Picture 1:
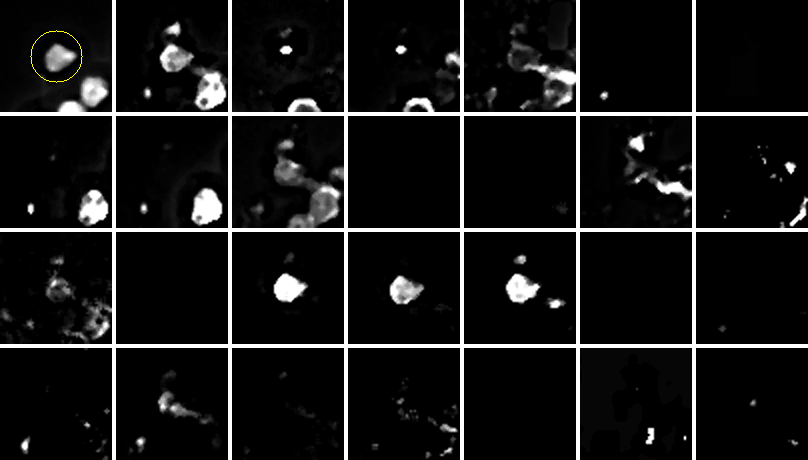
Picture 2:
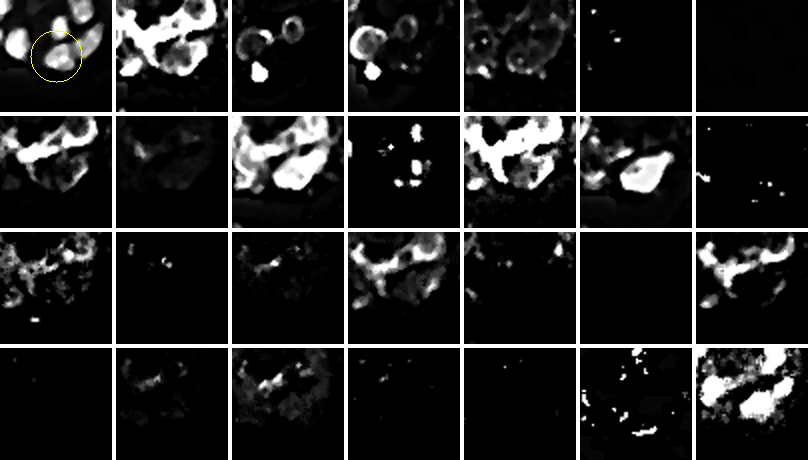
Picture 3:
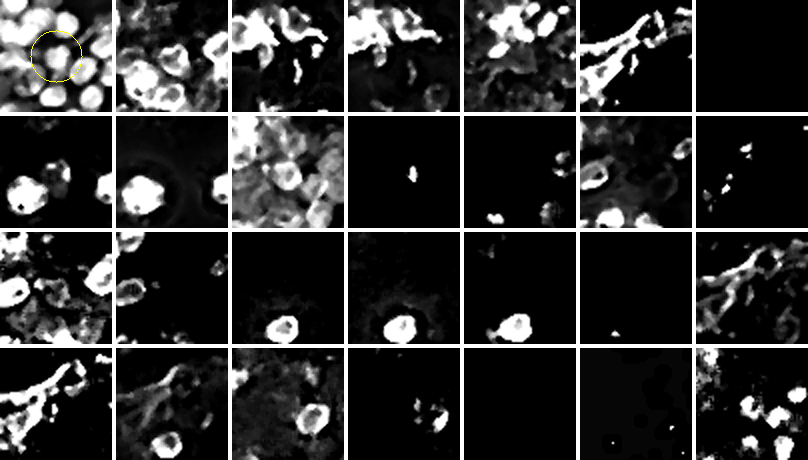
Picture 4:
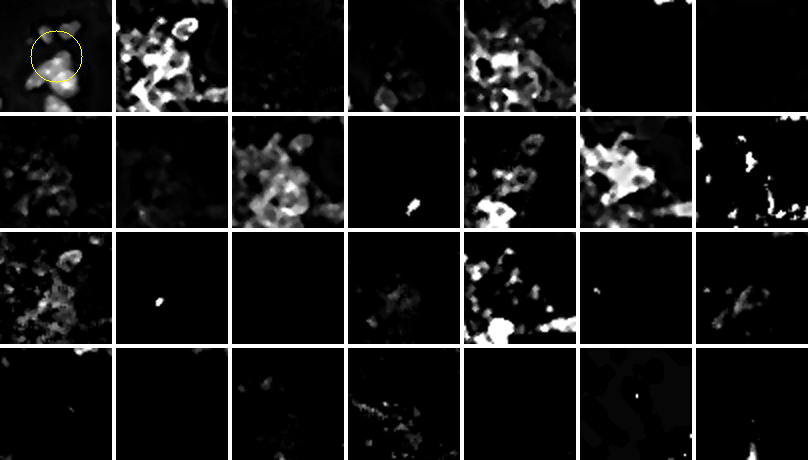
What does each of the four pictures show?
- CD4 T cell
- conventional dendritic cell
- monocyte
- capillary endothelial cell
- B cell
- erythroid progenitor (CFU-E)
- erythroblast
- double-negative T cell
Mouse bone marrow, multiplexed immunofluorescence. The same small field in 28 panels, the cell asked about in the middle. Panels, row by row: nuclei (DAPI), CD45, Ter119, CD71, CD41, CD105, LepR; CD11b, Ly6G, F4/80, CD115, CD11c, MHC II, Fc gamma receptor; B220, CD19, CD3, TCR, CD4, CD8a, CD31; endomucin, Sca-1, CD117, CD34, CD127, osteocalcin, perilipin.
1. CD4 T cell
2. conventional dendritic cell
3. monocyte
4. conventional dendritic cell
